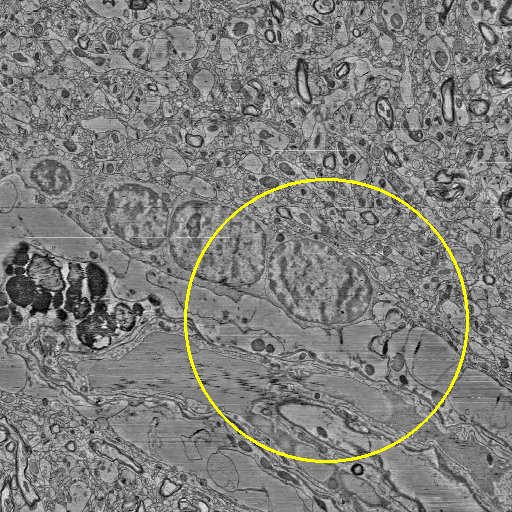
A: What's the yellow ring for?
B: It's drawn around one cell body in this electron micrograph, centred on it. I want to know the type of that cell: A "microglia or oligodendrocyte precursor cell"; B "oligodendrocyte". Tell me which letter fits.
B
